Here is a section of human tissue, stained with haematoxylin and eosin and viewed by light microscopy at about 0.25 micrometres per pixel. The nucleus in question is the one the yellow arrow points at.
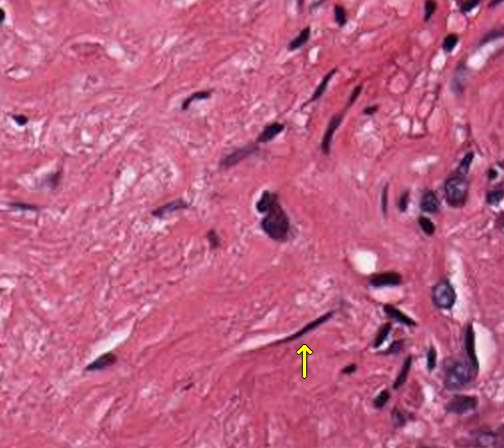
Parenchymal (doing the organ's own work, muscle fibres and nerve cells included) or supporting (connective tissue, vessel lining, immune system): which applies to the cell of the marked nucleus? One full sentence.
The nucleus that is marked belongs to a supporting cell.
